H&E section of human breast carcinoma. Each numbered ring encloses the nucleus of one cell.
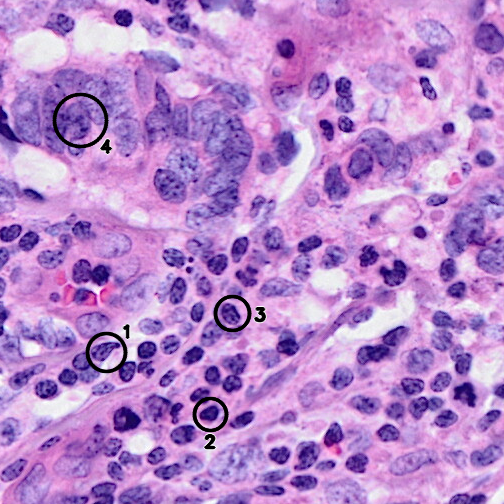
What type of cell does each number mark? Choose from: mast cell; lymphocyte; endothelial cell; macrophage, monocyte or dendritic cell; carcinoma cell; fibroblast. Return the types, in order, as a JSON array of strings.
["lymphocyte", "lymphocyte", "lymphocyte", "carcinoma cell"]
